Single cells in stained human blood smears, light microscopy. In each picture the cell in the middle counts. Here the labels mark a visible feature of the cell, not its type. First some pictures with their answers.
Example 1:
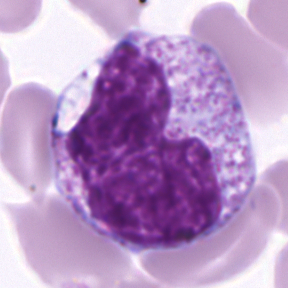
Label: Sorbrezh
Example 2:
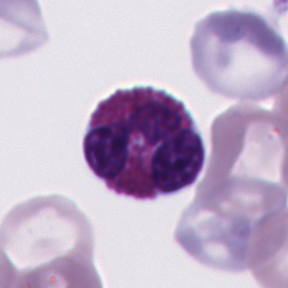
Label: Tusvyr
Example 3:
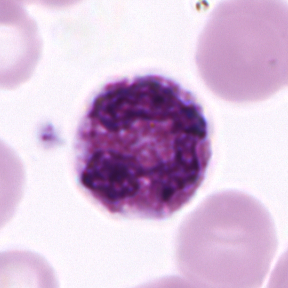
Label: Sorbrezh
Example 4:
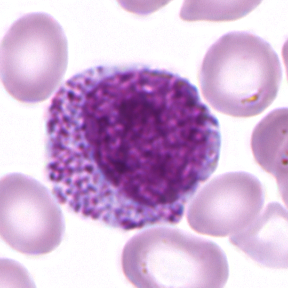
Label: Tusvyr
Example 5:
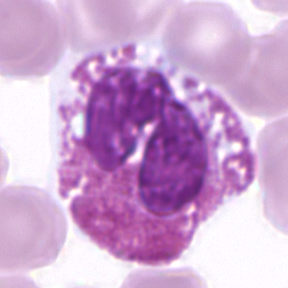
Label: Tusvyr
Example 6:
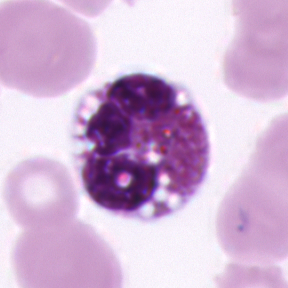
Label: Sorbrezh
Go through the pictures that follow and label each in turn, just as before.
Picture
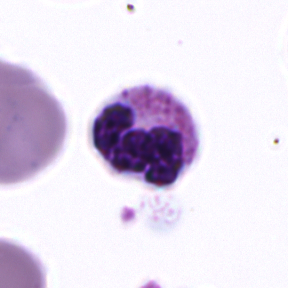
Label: Sorbrezh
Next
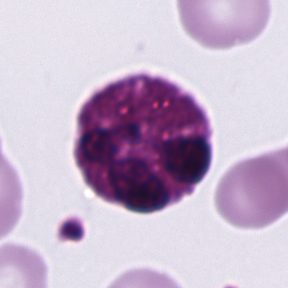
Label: Sorbrezh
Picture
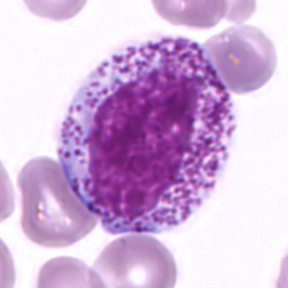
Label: Tusvyr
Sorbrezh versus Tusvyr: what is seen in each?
Sorbrezh, fine or small granules; Tusvyr, coarse or large granules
